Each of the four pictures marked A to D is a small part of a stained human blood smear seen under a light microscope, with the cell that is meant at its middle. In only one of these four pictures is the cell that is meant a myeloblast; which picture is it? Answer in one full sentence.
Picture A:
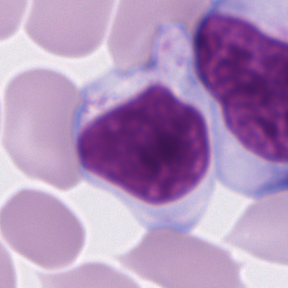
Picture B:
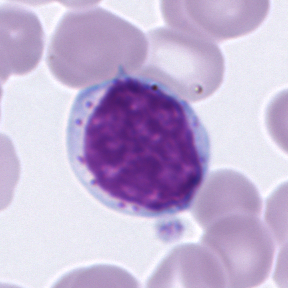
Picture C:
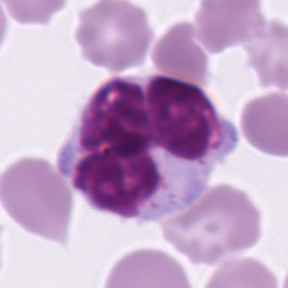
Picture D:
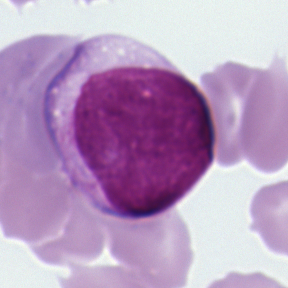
The myeloblast is the one in picture D.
